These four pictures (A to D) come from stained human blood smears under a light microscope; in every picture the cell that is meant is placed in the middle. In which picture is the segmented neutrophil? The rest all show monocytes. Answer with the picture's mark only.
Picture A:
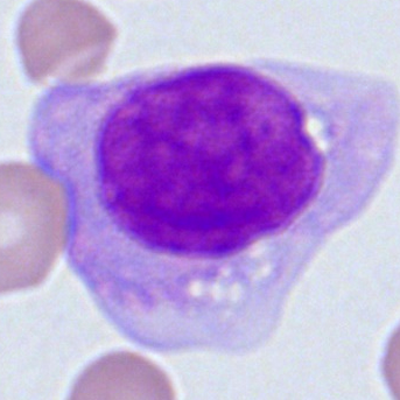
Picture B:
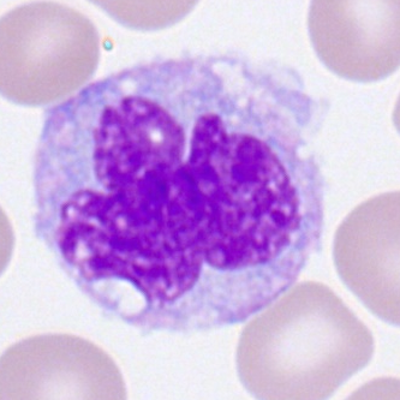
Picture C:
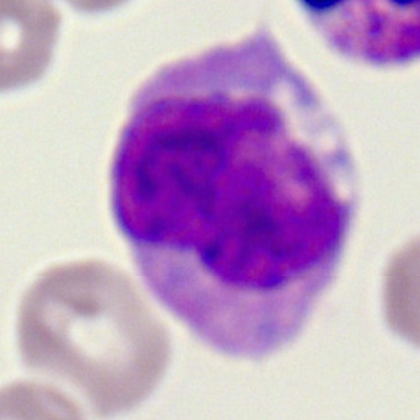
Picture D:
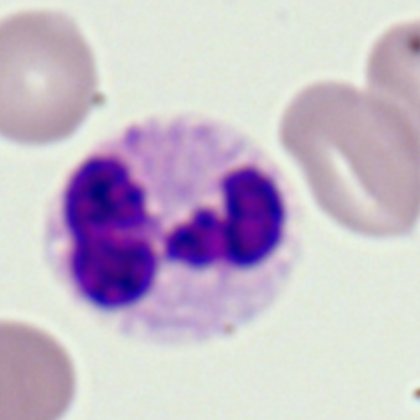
D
